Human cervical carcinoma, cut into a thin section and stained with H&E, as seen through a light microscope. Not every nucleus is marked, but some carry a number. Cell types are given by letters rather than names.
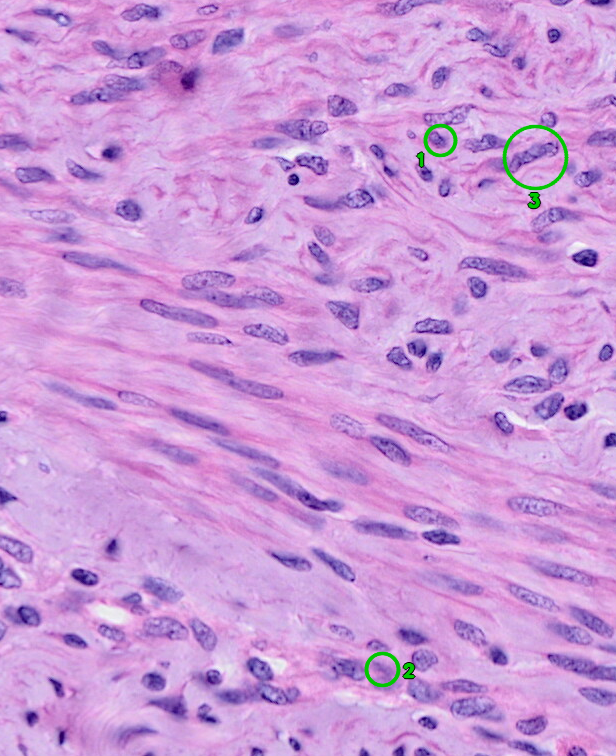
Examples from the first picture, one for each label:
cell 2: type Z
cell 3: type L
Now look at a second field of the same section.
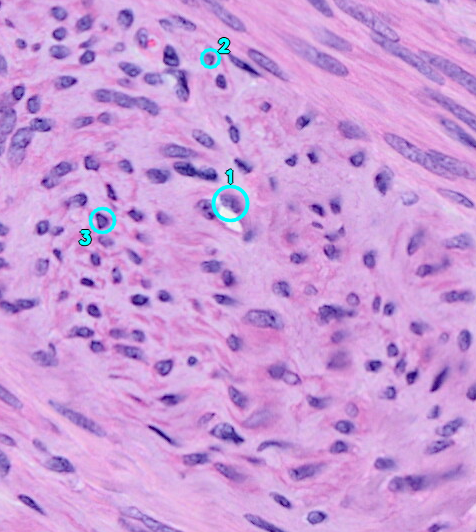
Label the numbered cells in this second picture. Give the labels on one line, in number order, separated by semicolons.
type Z; type L; type L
